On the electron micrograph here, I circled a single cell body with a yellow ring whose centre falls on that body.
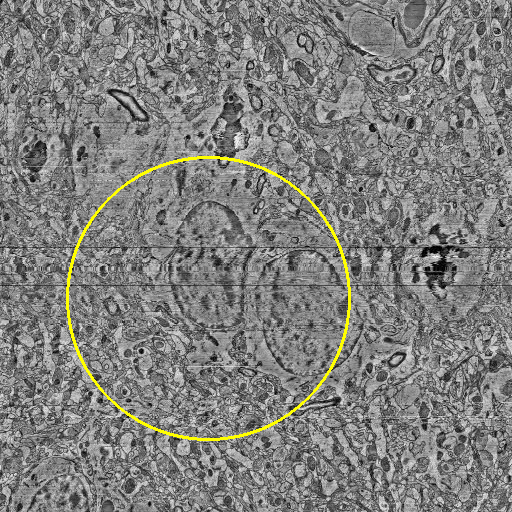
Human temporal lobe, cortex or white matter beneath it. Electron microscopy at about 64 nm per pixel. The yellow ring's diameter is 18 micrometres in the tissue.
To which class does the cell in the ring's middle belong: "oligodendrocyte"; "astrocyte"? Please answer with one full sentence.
In this picture, the cell body circled at the ring's centre belongs to an astrocyte.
